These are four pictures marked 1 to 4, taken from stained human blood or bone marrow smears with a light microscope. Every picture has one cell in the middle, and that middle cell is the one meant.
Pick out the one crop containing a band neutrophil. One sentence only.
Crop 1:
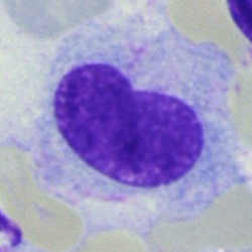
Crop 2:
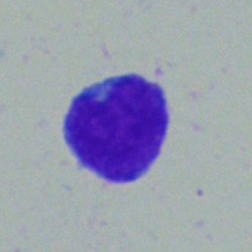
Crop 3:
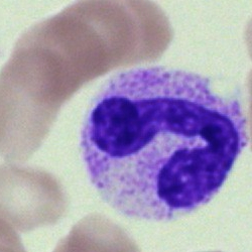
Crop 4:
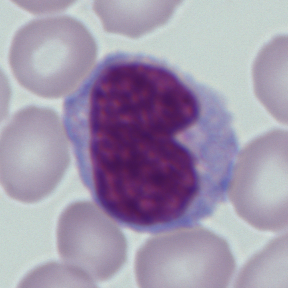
The sole crop showing a band neutrophil is crop 3.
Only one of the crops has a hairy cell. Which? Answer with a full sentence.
It is crop 1, not any other, that shows a hairy cell.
